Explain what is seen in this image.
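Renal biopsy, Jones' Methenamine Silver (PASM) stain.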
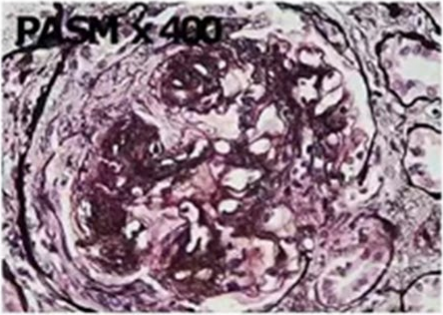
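The round capillary tuft fills most of the field and is divided into lobules of capillary loops. The loops are outlined by thin black membranes, and denser black material gathers in the central stalks between them. Small purple nuclei are scattered through the tuft, and a few open pale capillary lumens remain. A thin black capsule surrounds the tuft, and cross-sections of tubules with black-lined walls lie outside it.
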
